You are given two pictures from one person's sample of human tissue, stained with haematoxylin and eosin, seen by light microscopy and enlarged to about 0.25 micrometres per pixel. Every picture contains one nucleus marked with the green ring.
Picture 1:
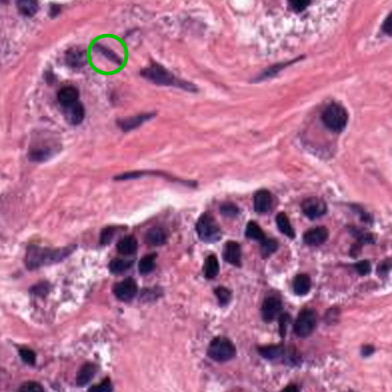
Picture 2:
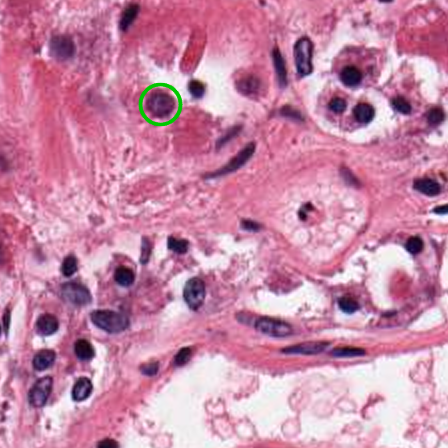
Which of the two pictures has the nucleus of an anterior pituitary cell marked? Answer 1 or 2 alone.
2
